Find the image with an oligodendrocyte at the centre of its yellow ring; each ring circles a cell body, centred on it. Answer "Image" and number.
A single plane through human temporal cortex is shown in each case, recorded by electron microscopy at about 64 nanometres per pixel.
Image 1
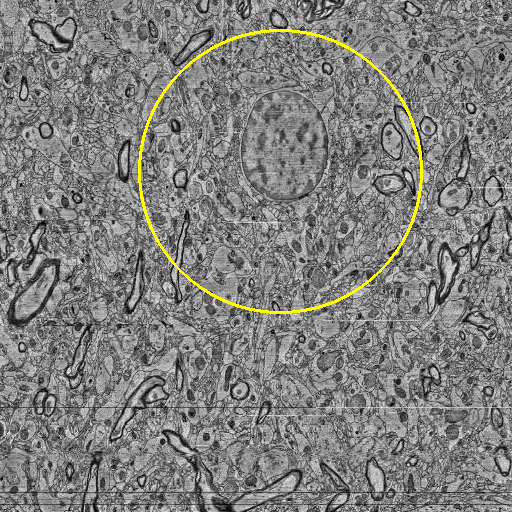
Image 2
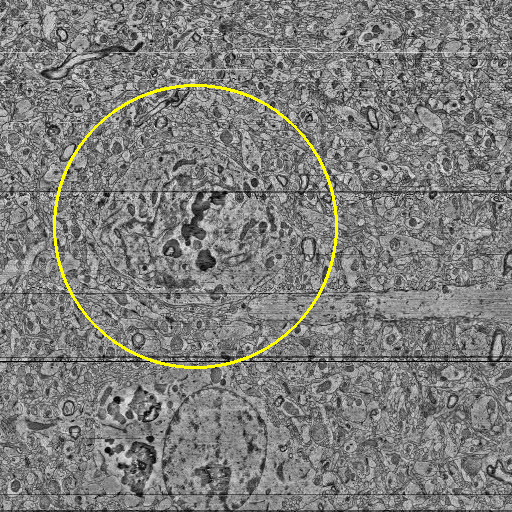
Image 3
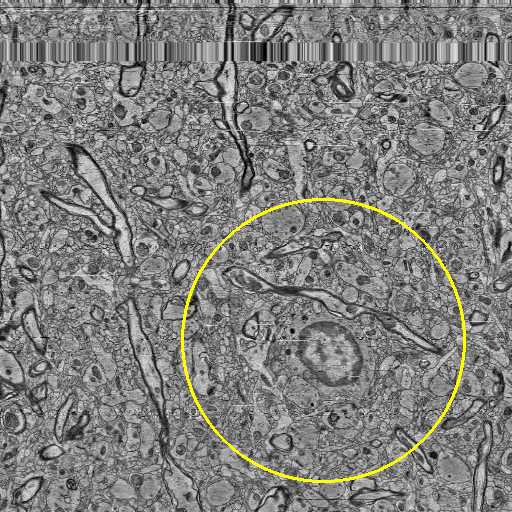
Image 3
